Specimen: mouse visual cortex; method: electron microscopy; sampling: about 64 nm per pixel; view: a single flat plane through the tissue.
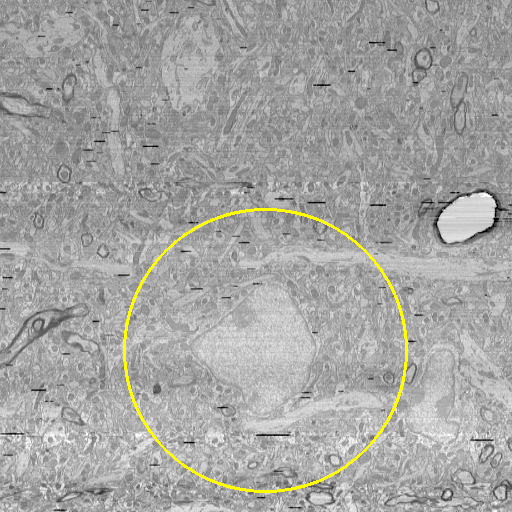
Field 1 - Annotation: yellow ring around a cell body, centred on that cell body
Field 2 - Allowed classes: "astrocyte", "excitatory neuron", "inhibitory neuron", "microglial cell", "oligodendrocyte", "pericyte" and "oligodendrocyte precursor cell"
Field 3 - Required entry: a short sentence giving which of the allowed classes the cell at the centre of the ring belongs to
The centred cell is an astrocyte.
